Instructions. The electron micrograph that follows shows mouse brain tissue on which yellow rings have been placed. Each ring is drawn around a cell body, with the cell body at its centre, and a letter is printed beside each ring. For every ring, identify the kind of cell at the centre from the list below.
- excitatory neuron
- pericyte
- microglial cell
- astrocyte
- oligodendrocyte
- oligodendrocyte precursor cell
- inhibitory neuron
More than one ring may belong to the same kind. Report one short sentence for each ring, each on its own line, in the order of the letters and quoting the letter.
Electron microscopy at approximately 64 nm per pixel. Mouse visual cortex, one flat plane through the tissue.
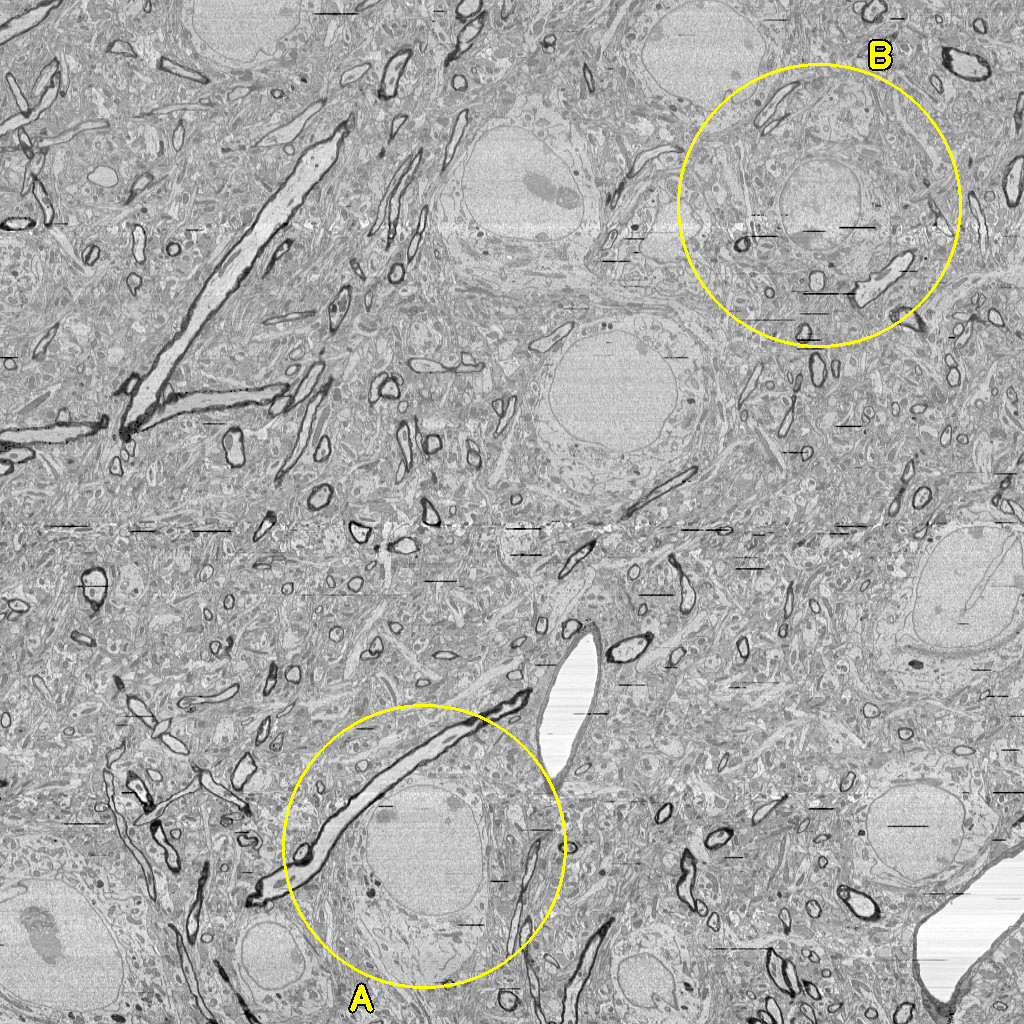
The centre of ring A is occupied by an excitatory neuron.
The centre of ring B is occupied by an oligodendrocyte.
